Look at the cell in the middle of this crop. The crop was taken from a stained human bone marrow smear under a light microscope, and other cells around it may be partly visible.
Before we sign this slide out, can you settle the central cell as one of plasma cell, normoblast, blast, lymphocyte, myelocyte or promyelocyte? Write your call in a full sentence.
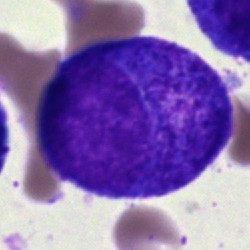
Here the centrally located cell is a promyelocyte.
